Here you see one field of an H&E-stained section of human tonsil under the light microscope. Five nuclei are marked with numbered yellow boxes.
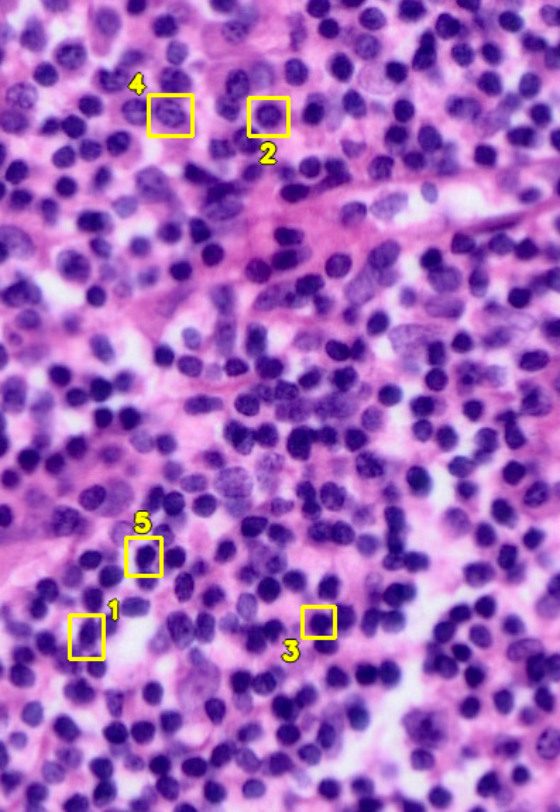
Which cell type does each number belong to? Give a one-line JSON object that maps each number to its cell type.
{"1": "small lymphocyte", "2": "plasma cell", "3": "small lymphocyte", "4": "plasma cell", "5": "small lymphocyte"}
